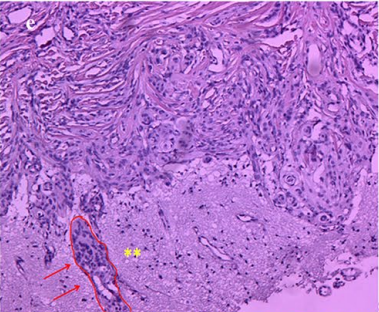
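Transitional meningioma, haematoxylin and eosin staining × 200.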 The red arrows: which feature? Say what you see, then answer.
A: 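Finger-like expansions. A narrow tongue of densely nucleated cells, outlined in red, protrudes into pale pink tissue below.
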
